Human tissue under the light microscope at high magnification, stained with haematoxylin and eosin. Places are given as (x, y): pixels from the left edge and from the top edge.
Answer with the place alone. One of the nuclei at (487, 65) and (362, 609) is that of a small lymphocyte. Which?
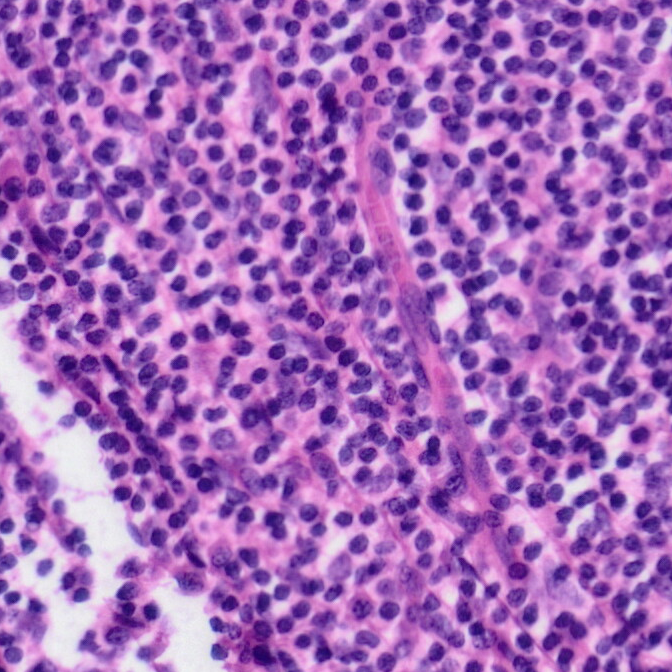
(487, 65)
